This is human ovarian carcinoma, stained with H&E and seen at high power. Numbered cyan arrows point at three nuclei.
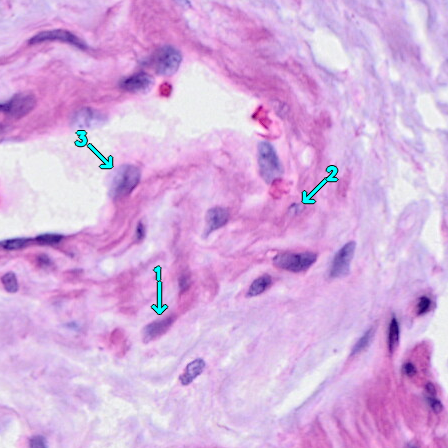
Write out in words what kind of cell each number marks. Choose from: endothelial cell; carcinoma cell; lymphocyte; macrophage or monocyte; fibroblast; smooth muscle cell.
Cell 1 is a smooth muscle cell, cell 2 is an endothelial cell and cell 3 is an endothelial cell.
